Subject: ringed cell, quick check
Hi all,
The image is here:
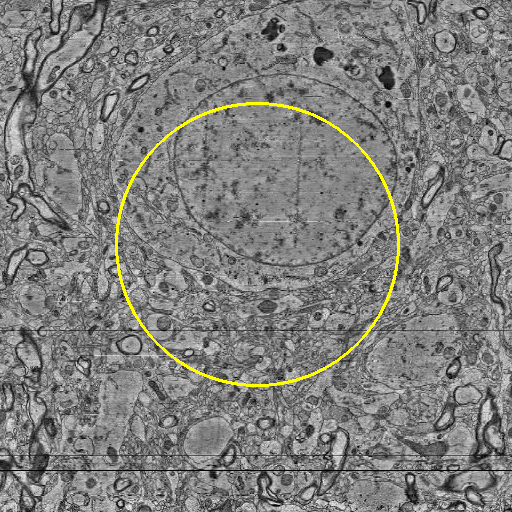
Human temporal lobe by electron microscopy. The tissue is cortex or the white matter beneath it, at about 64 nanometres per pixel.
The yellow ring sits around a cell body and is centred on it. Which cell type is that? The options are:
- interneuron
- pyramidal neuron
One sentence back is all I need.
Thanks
That ringed cell is a pyramidal neuron.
